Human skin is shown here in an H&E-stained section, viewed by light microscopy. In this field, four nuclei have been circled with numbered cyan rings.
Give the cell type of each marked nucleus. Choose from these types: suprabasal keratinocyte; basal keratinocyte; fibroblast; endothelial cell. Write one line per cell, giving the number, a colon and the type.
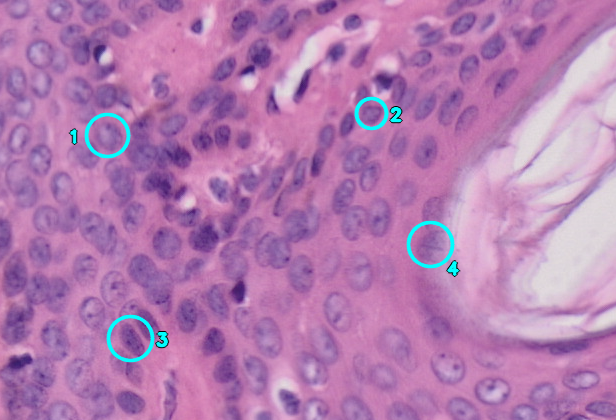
1: basal keratinocyte
2: basal keratinocyte
3: basal keratinocyte
4: suprabasal keratinocyte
